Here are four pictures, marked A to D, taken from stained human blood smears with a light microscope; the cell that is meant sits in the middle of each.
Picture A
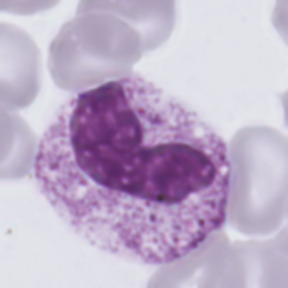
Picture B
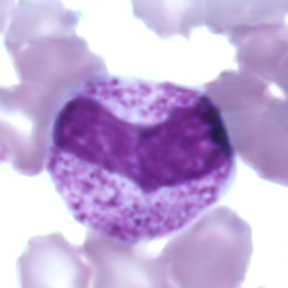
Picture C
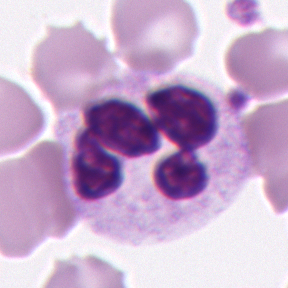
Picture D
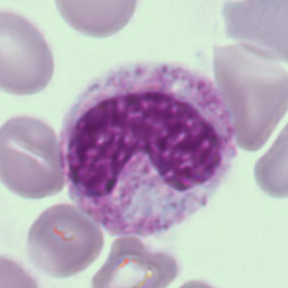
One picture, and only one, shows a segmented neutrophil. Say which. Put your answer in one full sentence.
The picture with the segmented neutrophil is C.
